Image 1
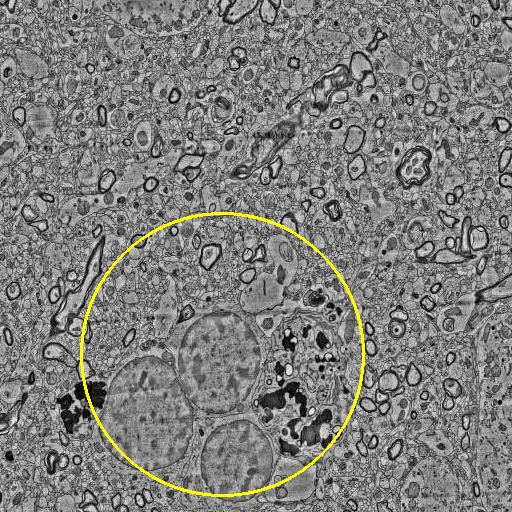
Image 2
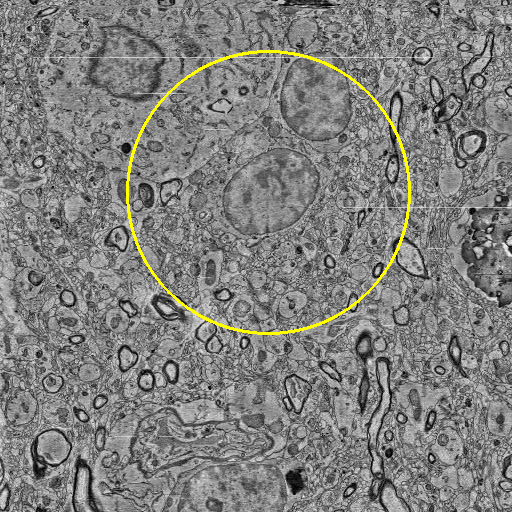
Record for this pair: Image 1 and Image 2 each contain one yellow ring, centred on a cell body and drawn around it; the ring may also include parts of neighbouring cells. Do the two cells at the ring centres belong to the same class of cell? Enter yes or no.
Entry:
yes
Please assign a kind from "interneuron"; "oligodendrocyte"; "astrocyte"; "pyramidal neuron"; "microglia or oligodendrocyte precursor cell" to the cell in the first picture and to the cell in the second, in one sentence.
In the first picture and in the second, the ring is centred on an oligodendrocyte.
